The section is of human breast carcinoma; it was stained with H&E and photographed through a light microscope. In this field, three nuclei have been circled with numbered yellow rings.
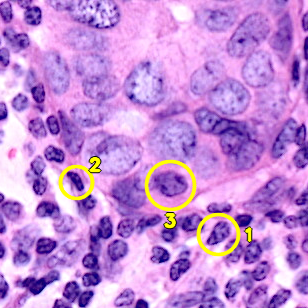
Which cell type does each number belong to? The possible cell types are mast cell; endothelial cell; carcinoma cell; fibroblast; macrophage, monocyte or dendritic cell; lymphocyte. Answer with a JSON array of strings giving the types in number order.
["lymphocyte", "lymphocyte", "carcinoma cell"]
